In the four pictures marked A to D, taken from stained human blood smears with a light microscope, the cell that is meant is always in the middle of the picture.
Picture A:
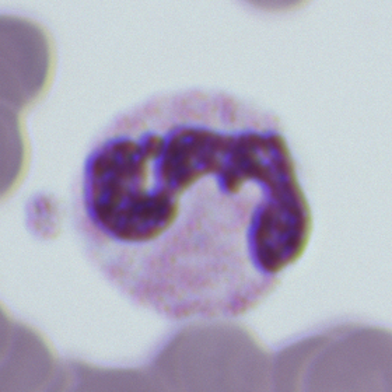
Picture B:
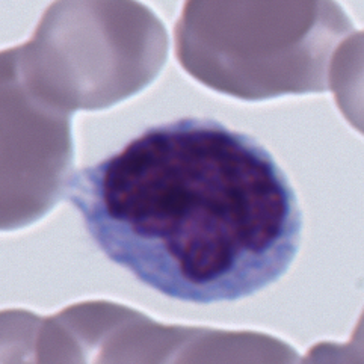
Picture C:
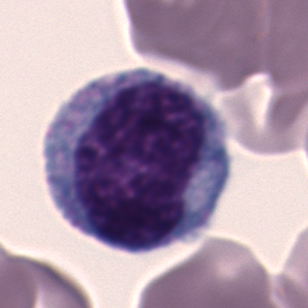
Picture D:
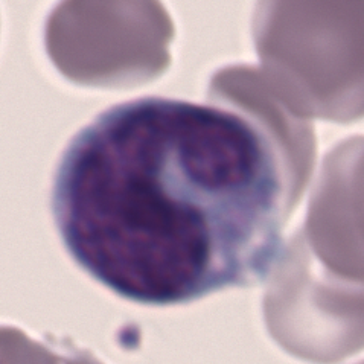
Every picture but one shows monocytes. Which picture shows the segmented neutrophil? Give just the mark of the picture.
A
